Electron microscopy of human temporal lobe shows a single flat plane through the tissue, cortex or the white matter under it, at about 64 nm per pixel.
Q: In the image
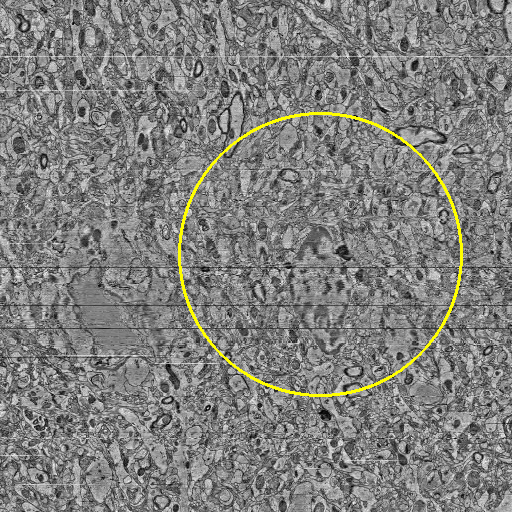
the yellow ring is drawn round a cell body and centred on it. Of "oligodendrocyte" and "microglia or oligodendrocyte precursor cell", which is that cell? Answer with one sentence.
The cell centred in the ring is a microglial cell or oligodendrocyte precursor cell.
